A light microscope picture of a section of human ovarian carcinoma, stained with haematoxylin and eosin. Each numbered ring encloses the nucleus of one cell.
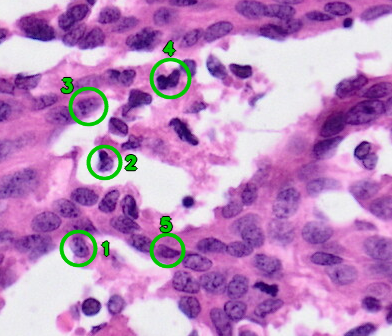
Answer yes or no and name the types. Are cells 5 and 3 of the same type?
Yes, the cell labelled 5 and the cell labelled 3 are both carcinoma cells.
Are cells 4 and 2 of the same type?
No, cell 4 is a macrophage or monocyte, whereas cell 2, for its part, is a carcinoma cell.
